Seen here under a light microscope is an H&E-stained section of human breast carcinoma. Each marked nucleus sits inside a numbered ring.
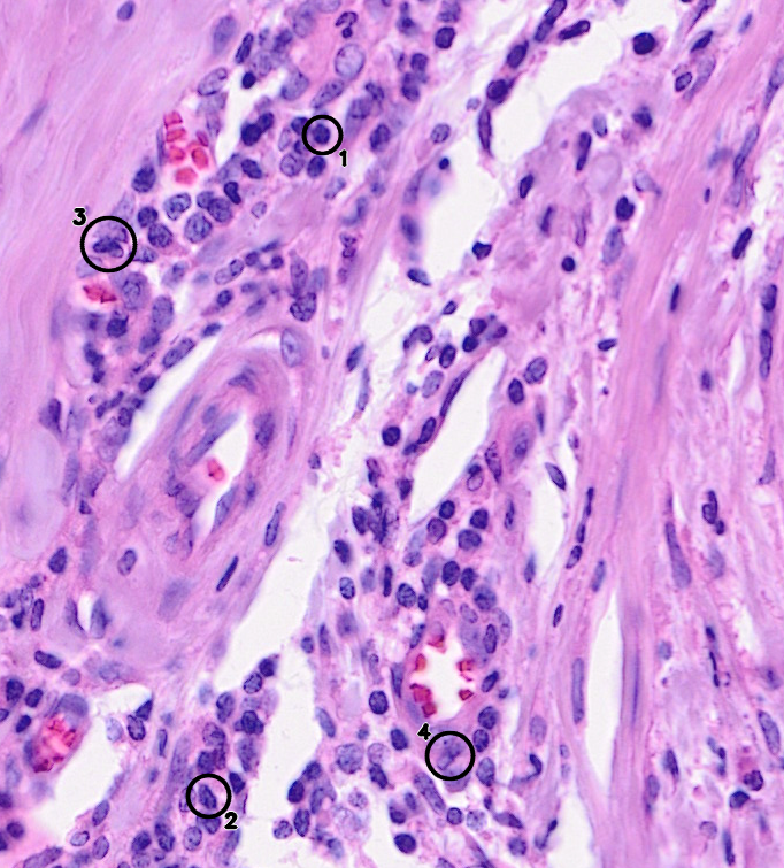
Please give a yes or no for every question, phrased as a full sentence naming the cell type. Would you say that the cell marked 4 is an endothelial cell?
Yes, regarding cell number 4, it is an endothelial cell.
